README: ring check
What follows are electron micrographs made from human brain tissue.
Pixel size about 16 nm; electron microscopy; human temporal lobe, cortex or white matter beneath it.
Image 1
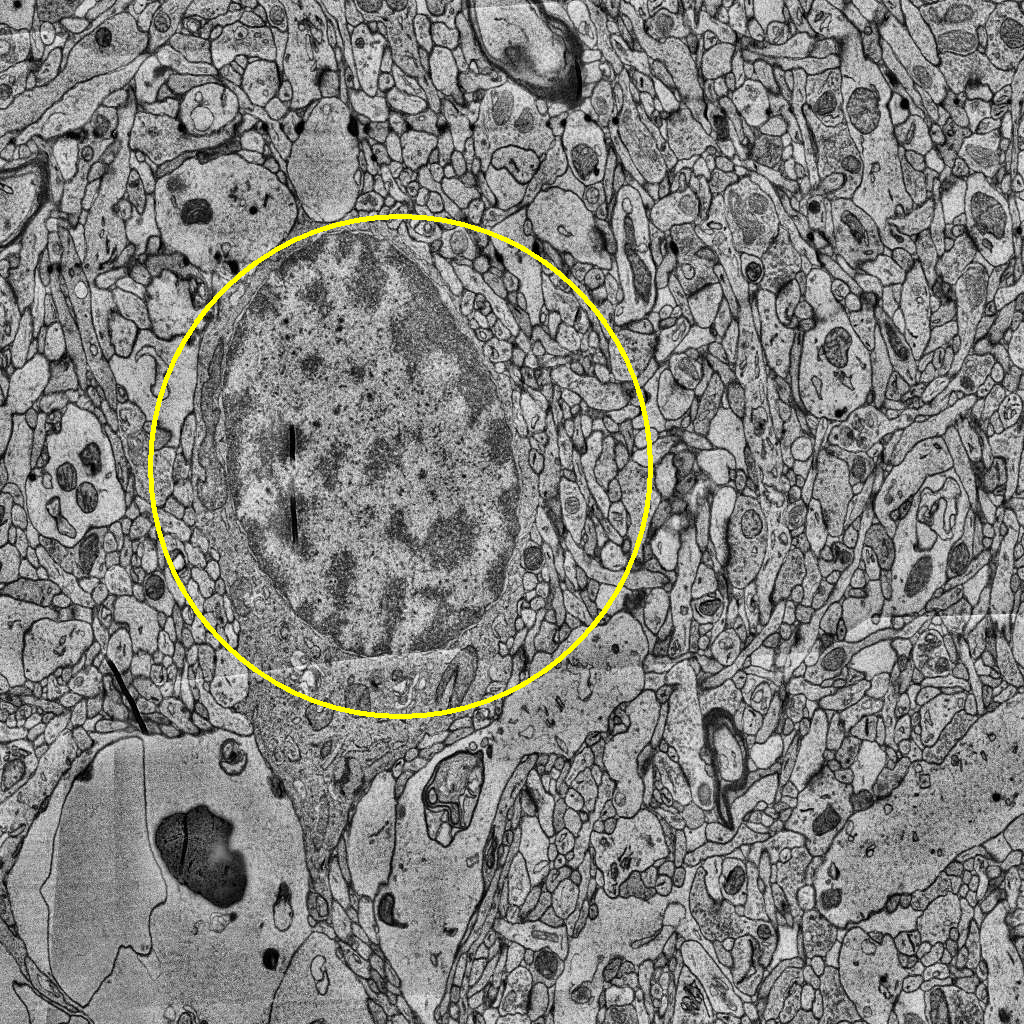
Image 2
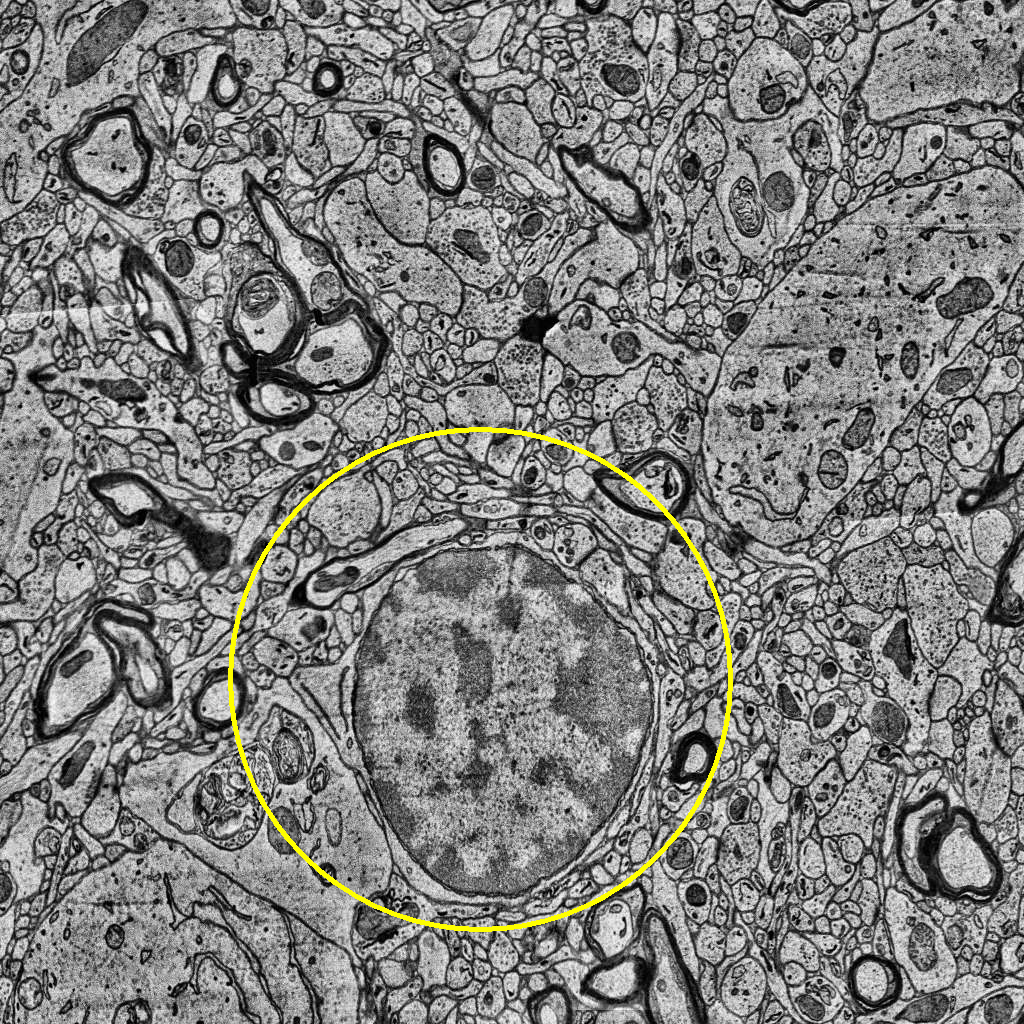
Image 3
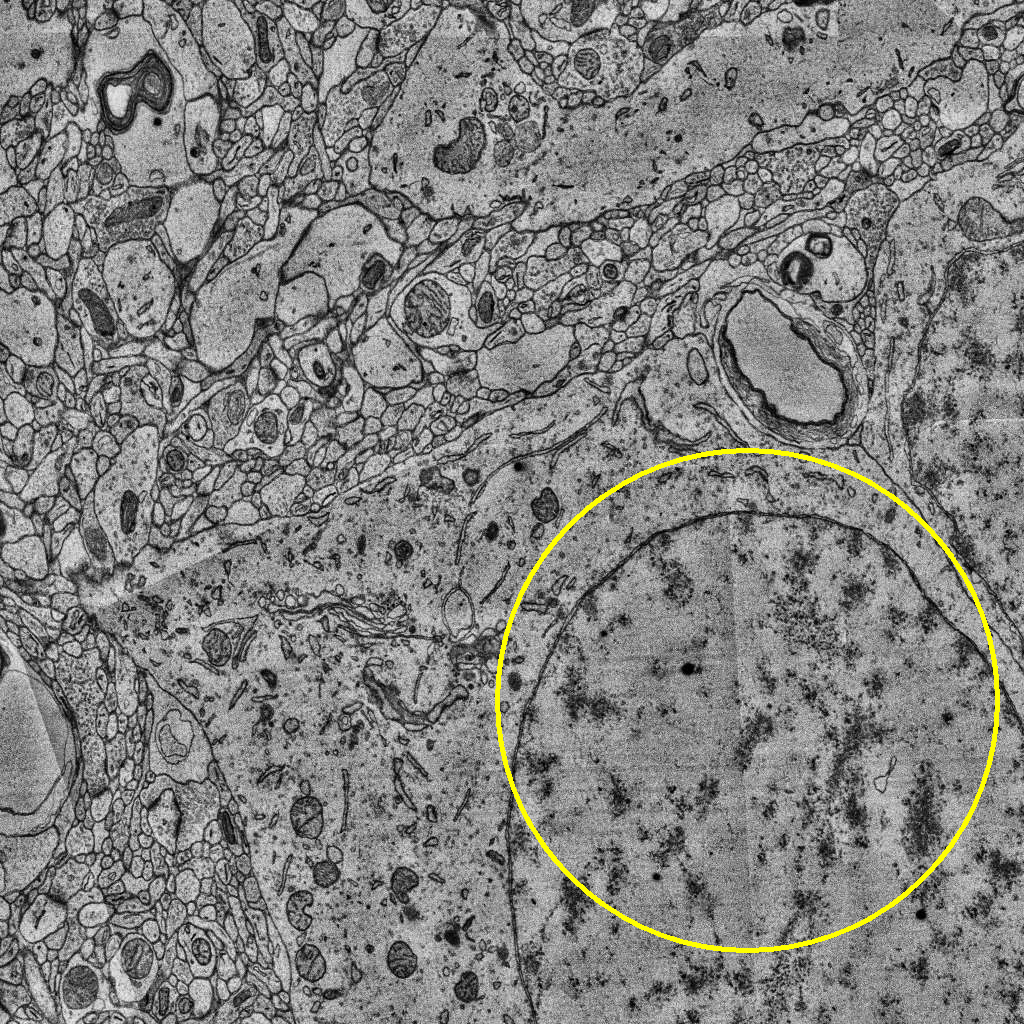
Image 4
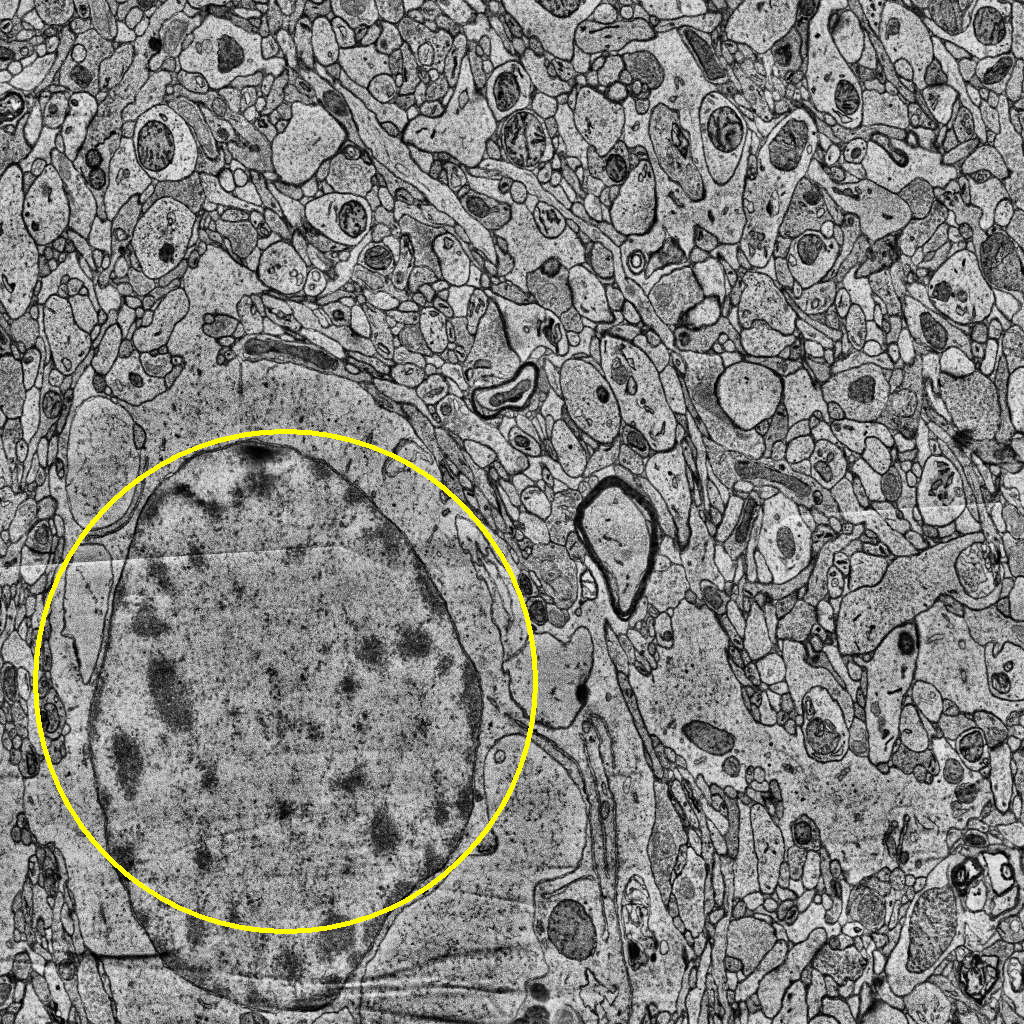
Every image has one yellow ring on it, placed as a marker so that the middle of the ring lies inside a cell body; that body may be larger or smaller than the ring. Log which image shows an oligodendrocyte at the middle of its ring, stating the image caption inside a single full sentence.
Image 1 is where the cell at the ring's centre matches the one asked for.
